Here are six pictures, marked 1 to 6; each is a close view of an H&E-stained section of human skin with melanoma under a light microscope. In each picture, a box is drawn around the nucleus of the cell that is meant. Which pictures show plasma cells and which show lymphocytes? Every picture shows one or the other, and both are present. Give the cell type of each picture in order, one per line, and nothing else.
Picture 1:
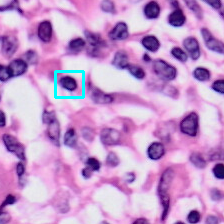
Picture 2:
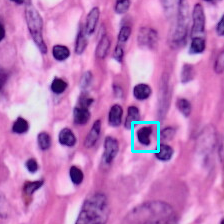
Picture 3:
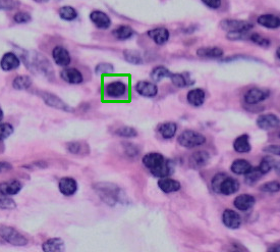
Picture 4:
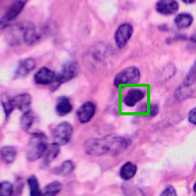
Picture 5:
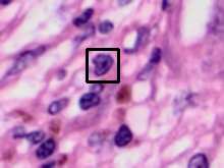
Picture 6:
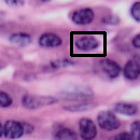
lymphocyte
lymphocyte
plasma cell
lymphocyte
lymphocyte
plasma cell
